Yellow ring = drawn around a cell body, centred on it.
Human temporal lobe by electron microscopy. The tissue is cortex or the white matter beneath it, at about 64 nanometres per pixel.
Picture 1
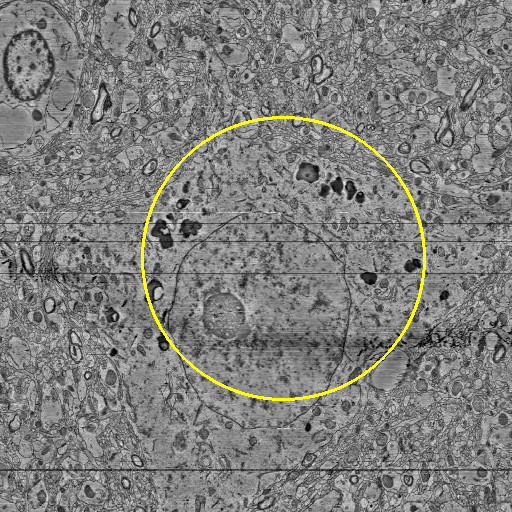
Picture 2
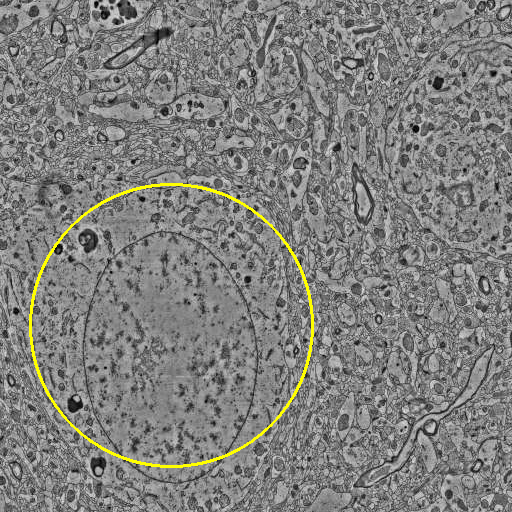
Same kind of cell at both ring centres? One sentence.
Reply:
Yes, they are the same kind of cell.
